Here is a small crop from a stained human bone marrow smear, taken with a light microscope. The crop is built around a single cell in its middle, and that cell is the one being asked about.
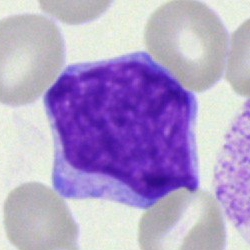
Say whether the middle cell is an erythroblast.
no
